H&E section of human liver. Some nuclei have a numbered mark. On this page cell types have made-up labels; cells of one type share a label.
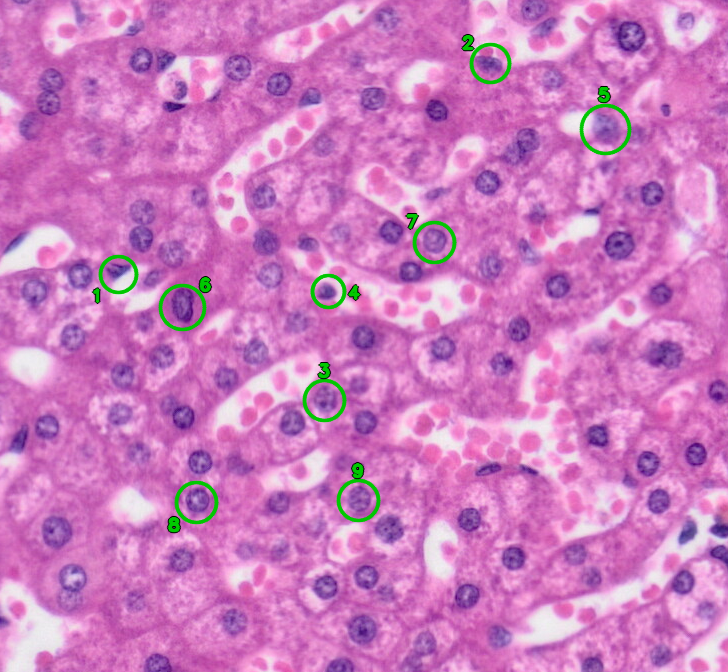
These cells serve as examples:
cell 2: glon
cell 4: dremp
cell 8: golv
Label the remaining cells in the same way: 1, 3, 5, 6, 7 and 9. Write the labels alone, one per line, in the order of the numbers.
glon
golv
glon
golv
golv
golv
